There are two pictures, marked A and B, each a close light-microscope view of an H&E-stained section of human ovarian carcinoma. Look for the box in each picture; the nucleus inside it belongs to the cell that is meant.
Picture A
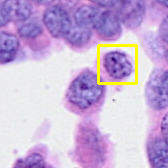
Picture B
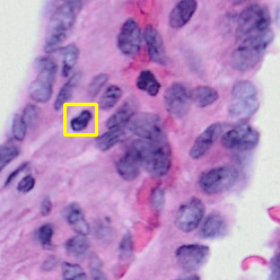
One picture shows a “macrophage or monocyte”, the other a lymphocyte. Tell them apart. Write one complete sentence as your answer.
Picture A is of a “macrophage or monocyte”, and picture B is of a lymphocyte.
